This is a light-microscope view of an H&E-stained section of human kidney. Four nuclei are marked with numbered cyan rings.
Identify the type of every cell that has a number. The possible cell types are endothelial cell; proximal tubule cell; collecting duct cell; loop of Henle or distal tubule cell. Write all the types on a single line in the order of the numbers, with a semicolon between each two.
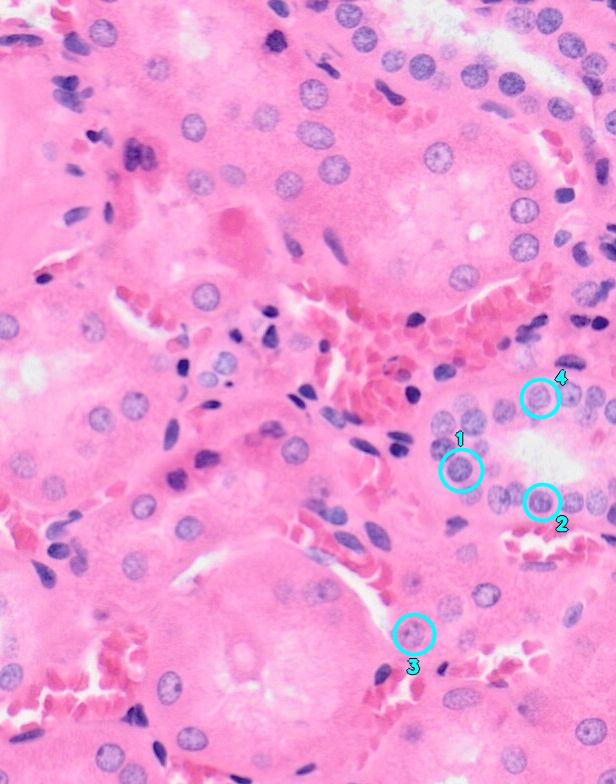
collecting duct cell; collecting duct cell; proximal tubule cell; collecting duct cell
